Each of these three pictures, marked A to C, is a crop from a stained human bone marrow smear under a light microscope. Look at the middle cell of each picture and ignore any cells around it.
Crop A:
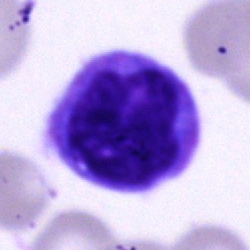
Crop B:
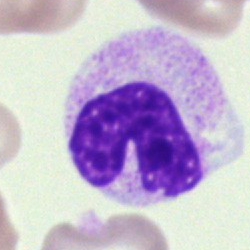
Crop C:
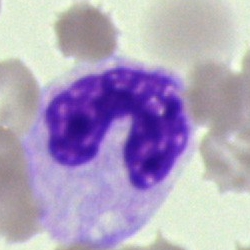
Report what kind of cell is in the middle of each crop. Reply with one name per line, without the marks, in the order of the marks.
monocyte
band neutrophil
band neutrophil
